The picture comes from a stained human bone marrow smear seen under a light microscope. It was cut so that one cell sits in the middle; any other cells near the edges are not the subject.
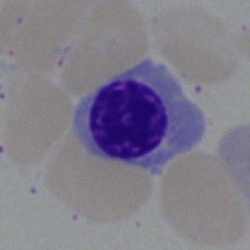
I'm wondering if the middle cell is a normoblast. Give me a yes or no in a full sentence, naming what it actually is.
Yes, the cell at the middle of the field is to be classed as a normoblast.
